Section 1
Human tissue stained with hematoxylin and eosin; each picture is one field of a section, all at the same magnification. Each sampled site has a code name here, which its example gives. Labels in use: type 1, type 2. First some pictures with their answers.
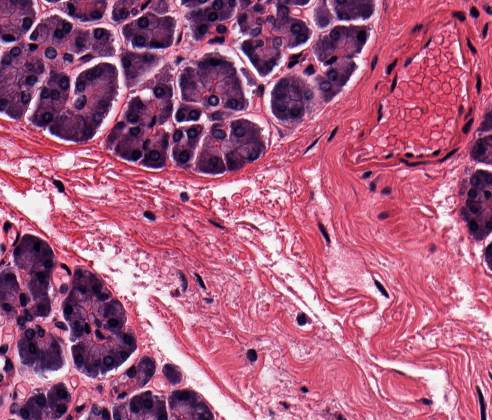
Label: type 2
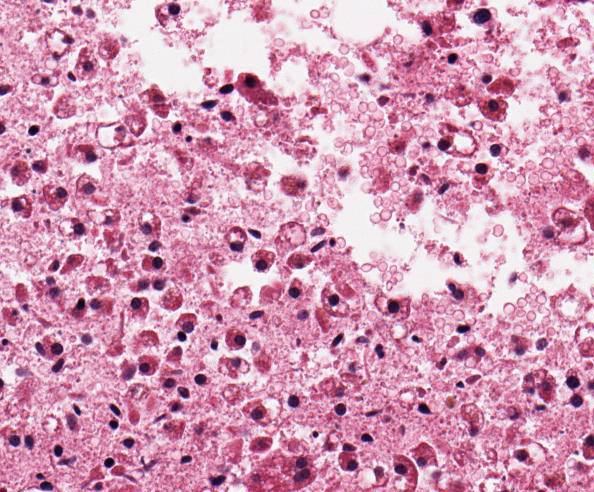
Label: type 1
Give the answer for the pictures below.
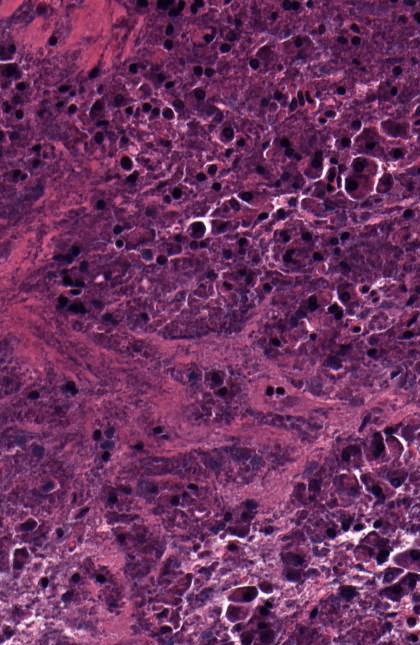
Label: type 2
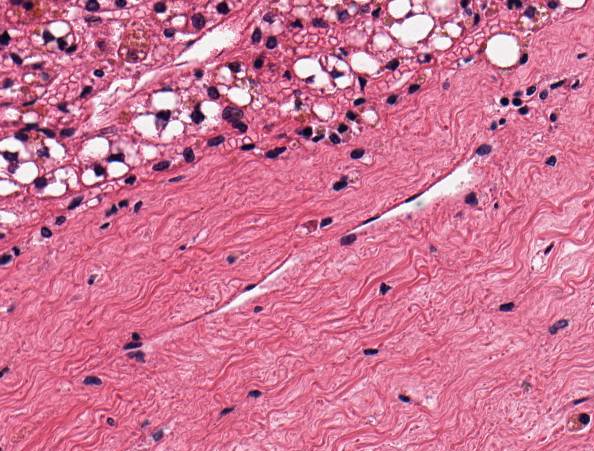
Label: type 1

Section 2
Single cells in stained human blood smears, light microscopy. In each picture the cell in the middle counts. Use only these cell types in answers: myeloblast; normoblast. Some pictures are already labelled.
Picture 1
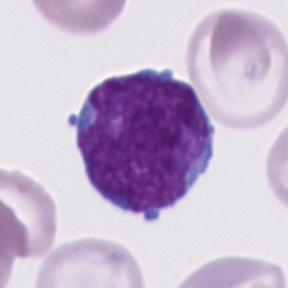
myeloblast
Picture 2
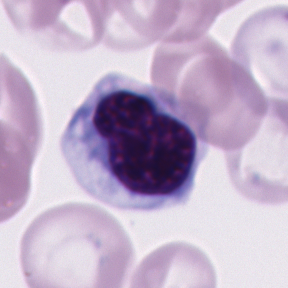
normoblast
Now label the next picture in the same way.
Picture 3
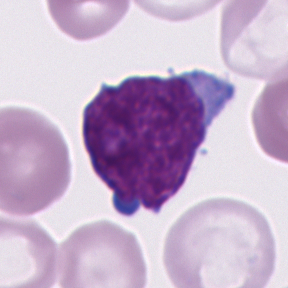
myeloblast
